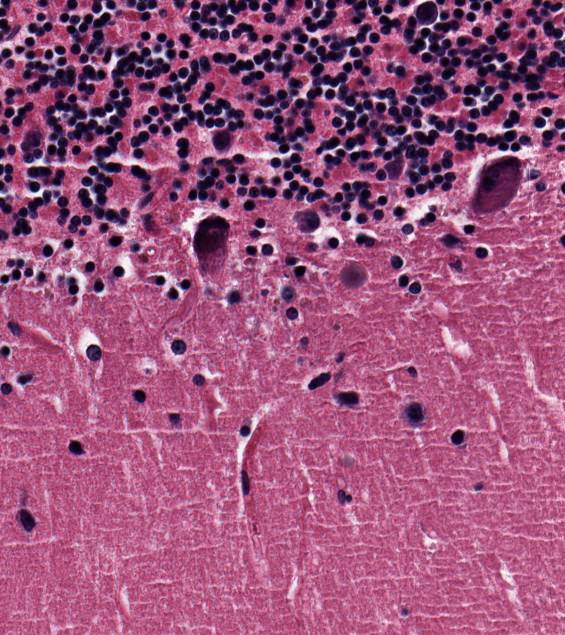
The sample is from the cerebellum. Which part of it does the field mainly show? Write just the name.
molecular layer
